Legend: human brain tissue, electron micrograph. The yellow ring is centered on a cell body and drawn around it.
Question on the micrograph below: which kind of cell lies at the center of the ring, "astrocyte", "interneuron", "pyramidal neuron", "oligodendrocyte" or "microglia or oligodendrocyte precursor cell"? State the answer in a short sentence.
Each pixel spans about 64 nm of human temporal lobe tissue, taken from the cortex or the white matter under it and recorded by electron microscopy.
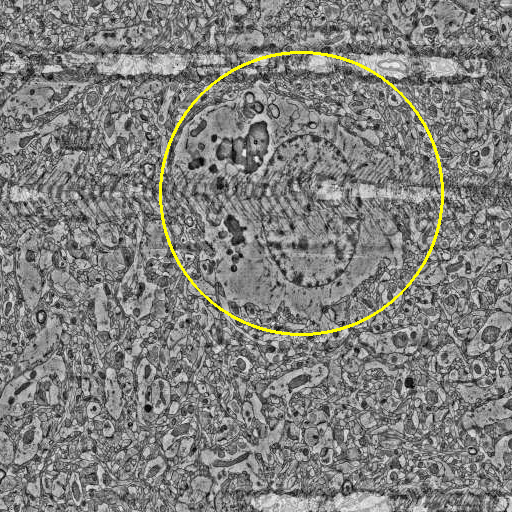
At the center of the ring lies an astrocyte.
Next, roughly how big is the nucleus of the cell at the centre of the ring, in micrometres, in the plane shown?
Roughly 10 micrometres by 6 micrometres, so the nucleus is clearly longer than it is wide in this plane.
